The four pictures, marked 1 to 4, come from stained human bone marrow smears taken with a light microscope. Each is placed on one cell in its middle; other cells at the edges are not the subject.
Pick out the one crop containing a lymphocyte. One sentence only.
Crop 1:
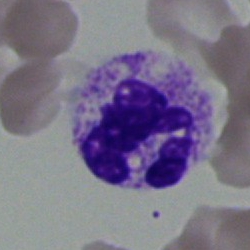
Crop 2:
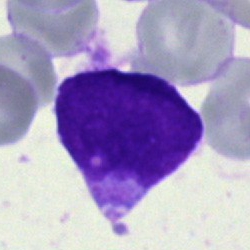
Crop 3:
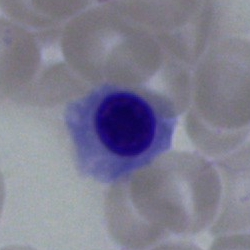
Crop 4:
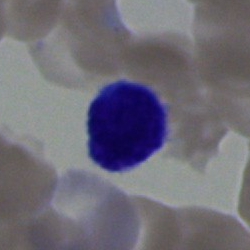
Among these crops, crop 4 holds a lymphocyte.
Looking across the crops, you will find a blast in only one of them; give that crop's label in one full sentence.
Crop 2 is the crop whose central cell is a blast.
